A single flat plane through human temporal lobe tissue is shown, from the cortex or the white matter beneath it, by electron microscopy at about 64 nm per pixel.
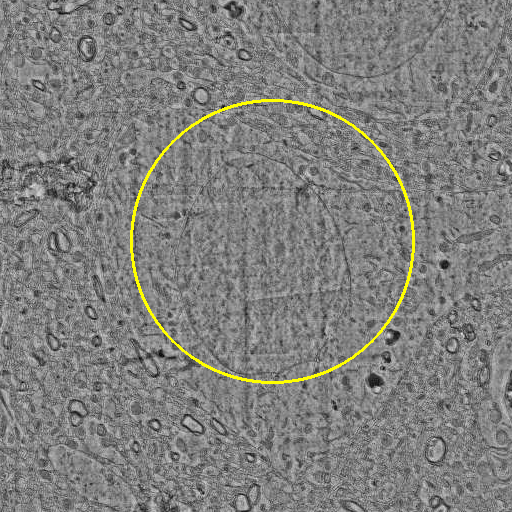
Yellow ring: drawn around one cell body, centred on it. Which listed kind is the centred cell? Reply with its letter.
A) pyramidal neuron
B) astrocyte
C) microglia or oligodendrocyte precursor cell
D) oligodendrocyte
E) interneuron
A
